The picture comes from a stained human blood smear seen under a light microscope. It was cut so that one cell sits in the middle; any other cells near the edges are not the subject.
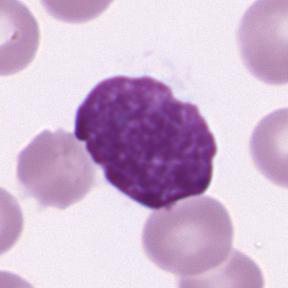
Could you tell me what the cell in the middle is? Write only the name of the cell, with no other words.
smudge cell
